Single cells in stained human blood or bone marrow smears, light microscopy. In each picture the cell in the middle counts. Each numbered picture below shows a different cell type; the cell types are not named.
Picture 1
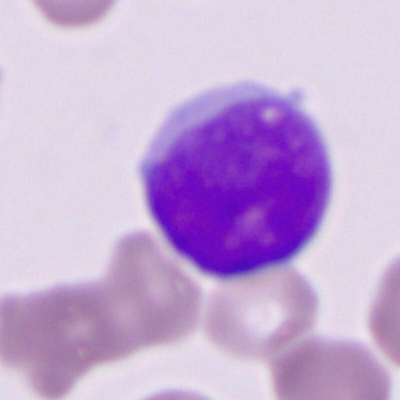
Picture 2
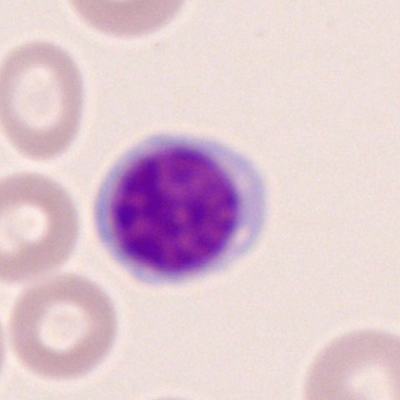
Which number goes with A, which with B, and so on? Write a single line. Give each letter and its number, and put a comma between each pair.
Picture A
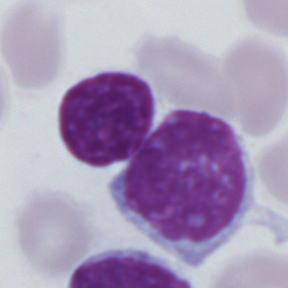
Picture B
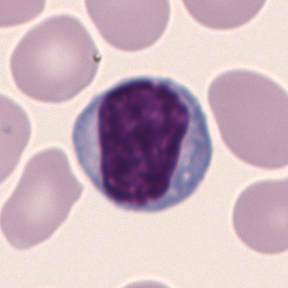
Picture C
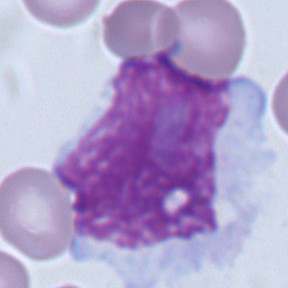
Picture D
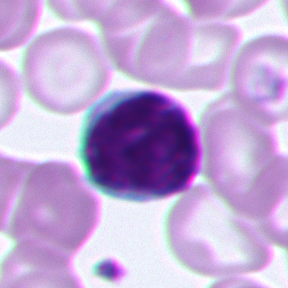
A 1, B 2, C 1, D 2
